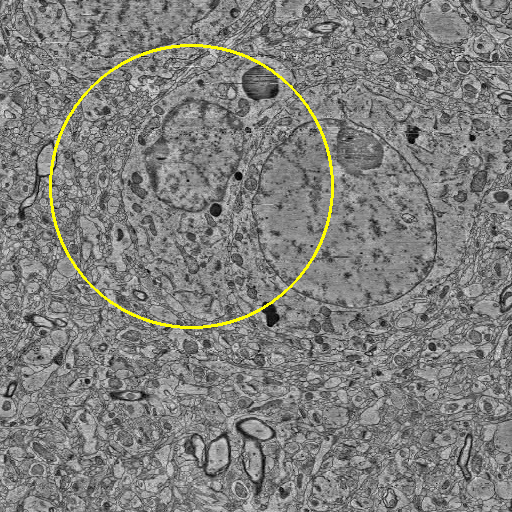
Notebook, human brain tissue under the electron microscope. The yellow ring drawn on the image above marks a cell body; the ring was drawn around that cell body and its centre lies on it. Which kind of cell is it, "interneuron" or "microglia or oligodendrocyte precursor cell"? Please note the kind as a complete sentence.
The marked cell body is that of an interneuron.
